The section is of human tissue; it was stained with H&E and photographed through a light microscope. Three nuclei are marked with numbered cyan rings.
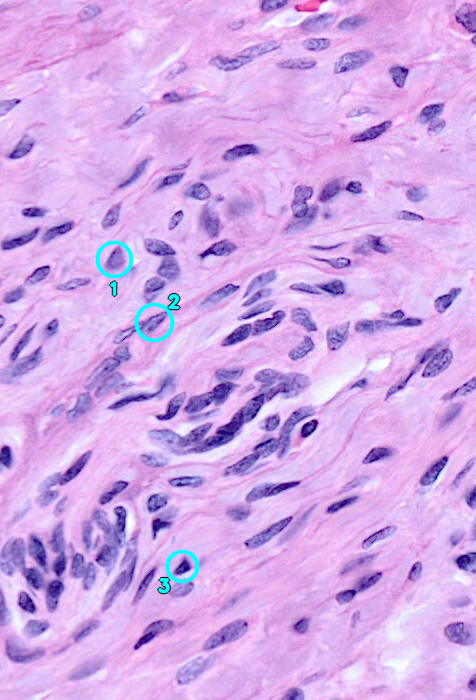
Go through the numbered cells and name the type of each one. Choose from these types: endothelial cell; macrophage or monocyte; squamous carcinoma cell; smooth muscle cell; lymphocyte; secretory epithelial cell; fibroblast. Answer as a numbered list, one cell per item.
1. fibroblast
2. smooth muscle cell
3. fibroblast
